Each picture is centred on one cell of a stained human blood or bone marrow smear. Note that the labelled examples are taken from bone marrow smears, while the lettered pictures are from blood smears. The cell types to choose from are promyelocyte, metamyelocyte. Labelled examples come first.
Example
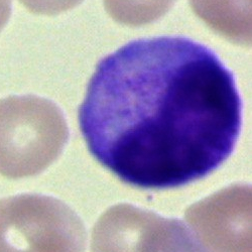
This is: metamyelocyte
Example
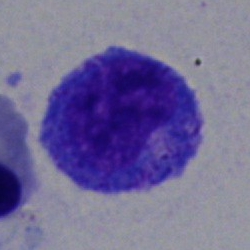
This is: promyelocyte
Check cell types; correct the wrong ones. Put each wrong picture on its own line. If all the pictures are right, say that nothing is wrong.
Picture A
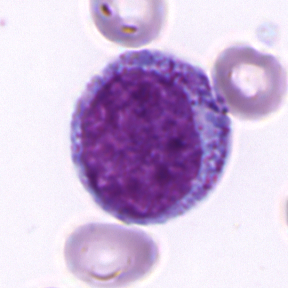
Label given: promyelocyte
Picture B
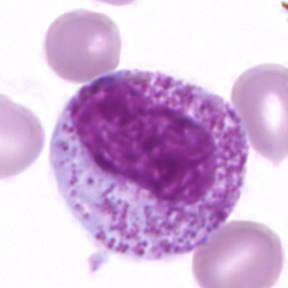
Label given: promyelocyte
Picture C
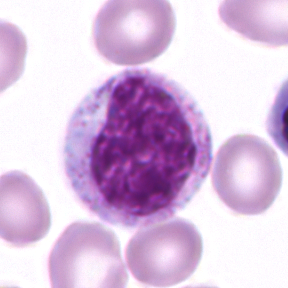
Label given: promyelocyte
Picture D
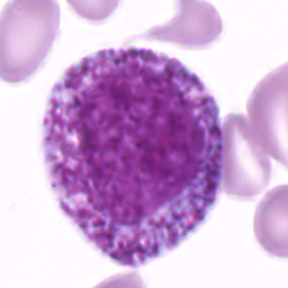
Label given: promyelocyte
B: not promyelocyte but metamyelocyte
C: not promyelocyte but metamyelocyte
